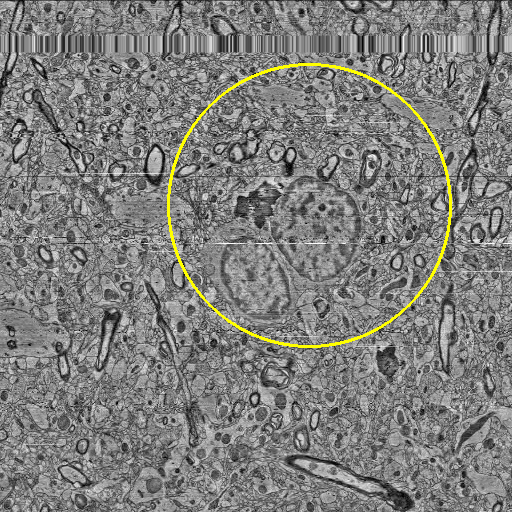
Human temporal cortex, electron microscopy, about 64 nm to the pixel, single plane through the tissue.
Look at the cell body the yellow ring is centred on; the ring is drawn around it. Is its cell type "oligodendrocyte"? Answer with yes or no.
Yes, that is its cell type.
